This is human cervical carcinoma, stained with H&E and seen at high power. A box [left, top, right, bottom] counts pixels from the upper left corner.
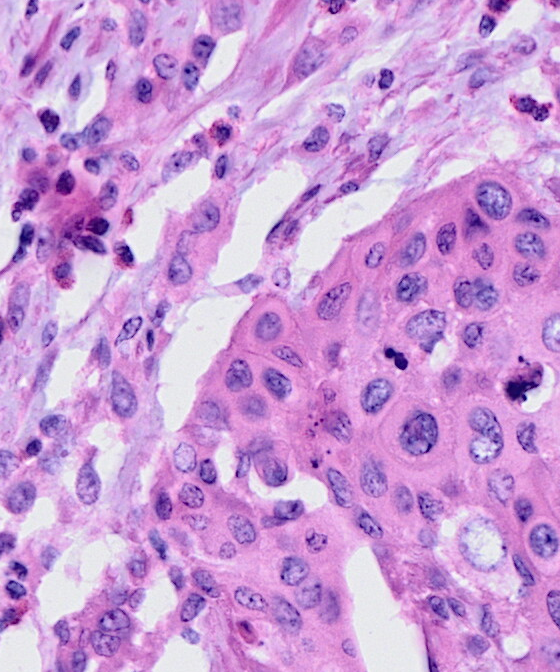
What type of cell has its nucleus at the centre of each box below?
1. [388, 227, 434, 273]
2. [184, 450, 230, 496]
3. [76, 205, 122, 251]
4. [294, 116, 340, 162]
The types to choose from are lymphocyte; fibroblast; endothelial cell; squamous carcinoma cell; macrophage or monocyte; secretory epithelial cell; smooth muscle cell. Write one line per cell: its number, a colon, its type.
1: squamous carcinoma cell
2: squamous carcinoma cell
3: lymphocyte
4: macrophage or monocyte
